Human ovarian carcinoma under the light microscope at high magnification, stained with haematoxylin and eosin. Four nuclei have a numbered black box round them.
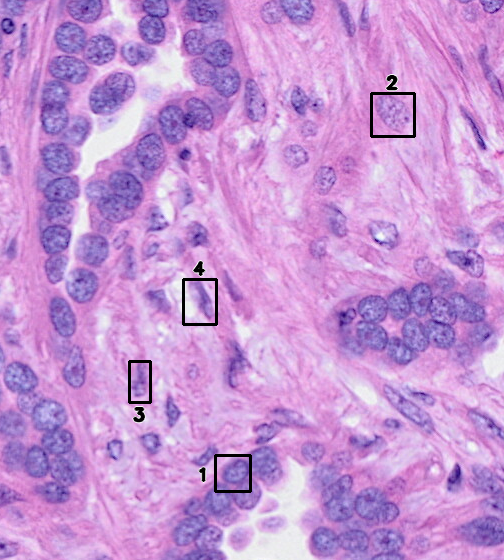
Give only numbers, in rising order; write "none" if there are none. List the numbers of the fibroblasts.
2, 3, 4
